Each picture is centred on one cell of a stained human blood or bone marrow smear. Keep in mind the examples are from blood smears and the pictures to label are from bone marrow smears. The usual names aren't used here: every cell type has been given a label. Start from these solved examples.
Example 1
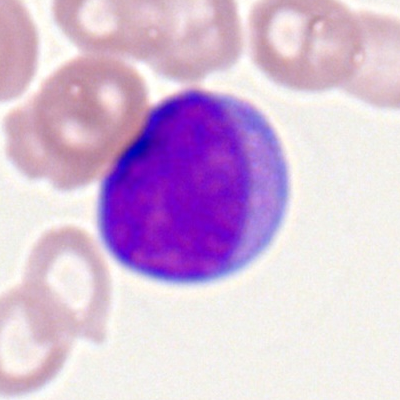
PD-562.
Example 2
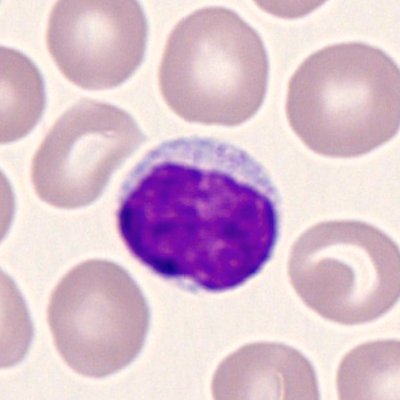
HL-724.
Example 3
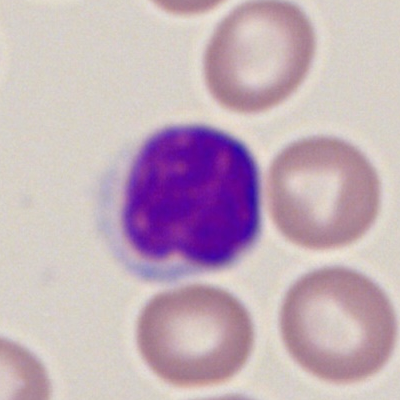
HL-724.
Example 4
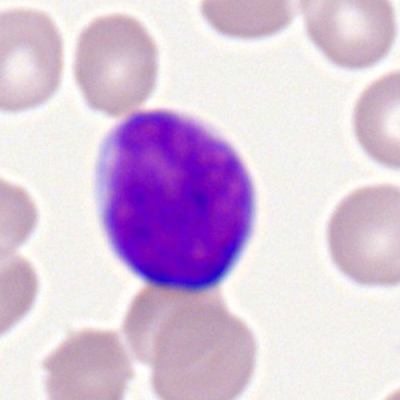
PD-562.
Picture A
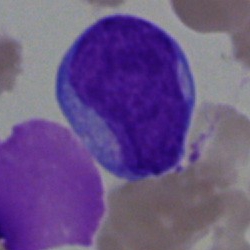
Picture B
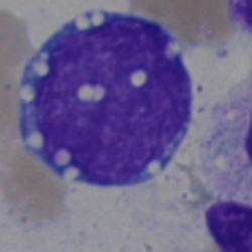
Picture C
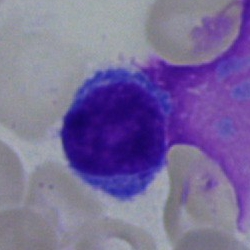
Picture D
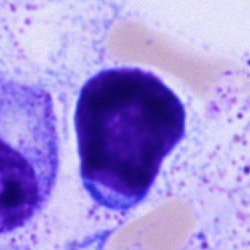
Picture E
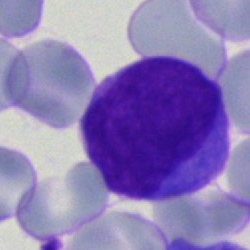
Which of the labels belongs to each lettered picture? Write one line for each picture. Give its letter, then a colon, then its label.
A: PD-562.
B: PD-562.
C: HL-724.
D: HL-724.
E: PD-562.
